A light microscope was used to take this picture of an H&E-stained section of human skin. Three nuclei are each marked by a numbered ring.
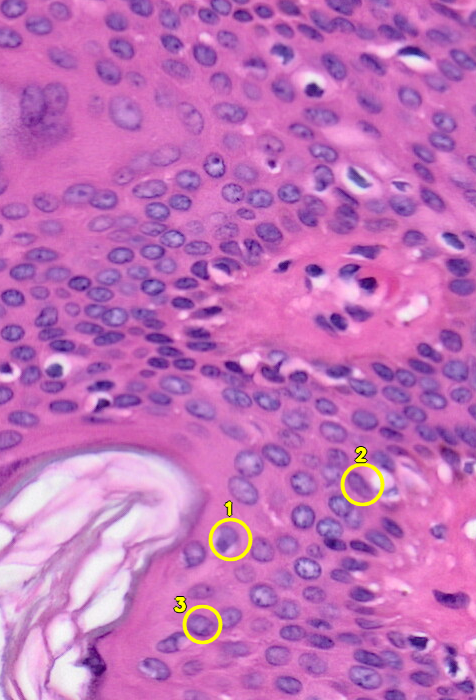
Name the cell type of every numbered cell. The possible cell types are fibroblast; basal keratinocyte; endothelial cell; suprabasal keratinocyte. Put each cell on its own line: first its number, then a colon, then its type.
1: suprabasal keratinocyte
2: basal keratinocyte
3: suprabasal keratinocyte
